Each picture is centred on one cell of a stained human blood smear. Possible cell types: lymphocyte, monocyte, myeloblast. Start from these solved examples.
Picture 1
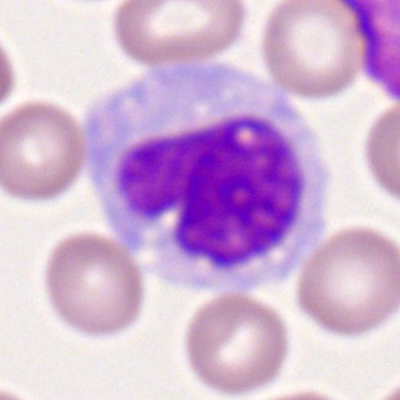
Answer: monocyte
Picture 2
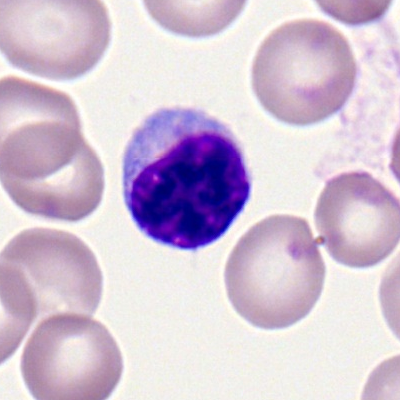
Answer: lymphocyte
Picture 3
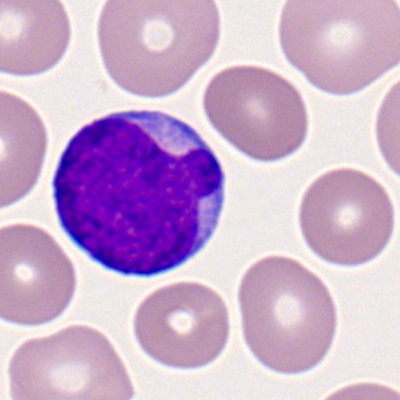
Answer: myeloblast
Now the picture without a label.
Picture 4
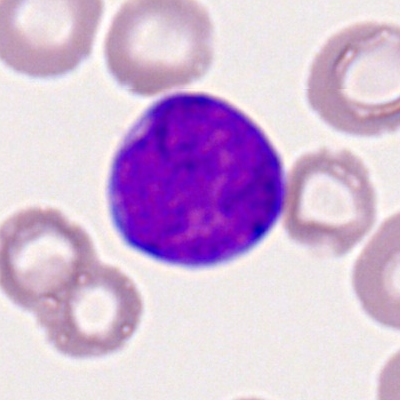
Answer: myeloblast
